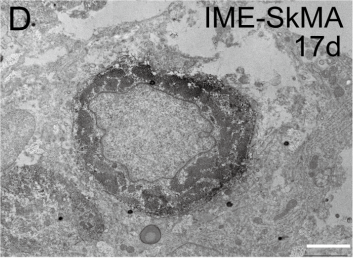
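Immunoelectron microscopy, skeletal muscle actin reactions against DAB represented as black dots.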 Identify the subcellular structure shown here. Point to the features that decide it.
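A single rounded cell profile fills the middle of the image. A large pale oval area lies in the centre of the cell. A dark rim of dense deposits surrounds the pale centre. So: central nuclei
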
